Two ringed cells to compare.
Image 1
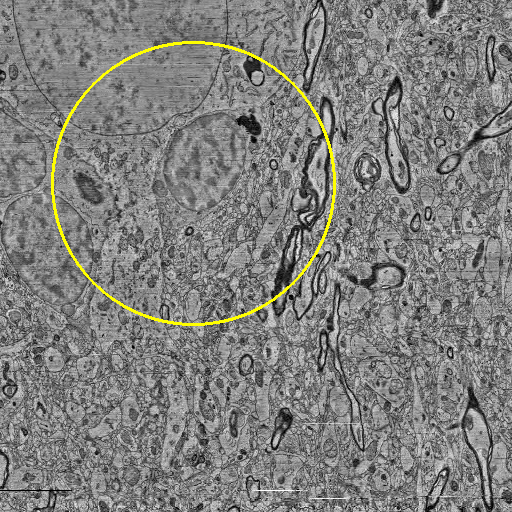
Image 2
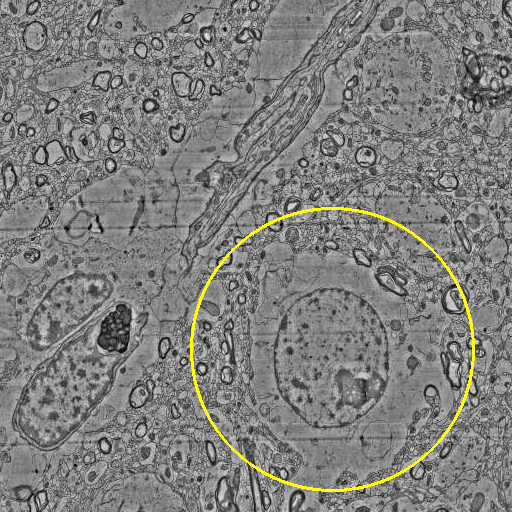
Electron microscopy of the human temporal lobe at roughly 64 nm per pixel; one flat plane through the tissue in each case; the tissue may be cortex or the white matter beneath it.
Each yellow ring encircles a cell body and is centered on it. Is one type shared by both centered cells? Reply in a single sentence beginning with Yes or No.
No, two types are found among the cells at the centers of the rings.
